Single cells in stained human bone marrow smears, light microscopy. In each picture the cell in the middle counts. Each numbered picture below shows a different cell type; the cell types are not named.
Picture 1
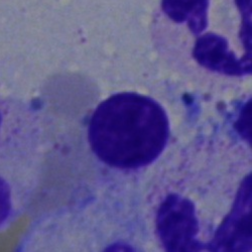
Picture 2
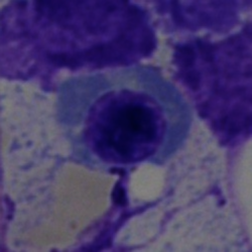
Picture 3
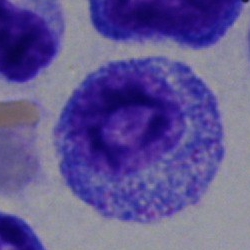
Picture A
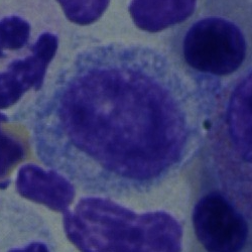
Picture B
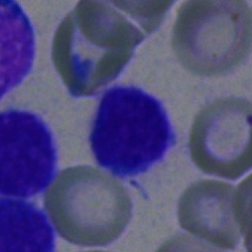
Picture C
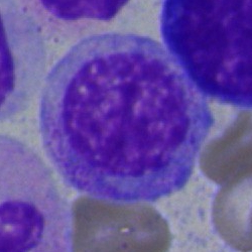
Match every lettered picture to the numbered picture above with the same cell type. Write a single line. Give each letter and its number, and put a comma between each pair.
A 3, B 1, C 3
